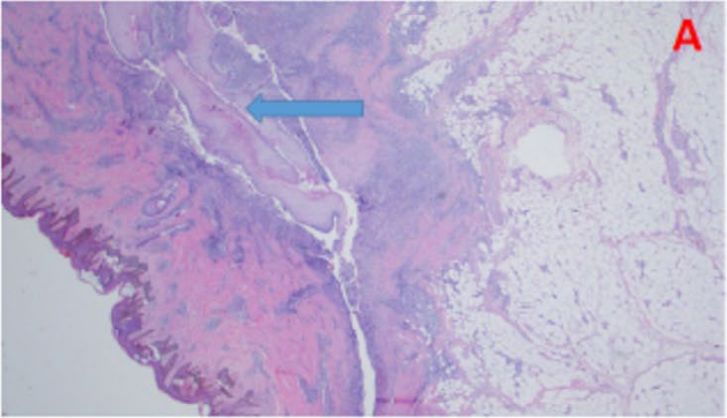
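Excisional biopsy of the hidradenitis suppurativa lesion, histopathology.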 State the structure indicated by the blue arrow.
Ruptured dermal sinus tract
